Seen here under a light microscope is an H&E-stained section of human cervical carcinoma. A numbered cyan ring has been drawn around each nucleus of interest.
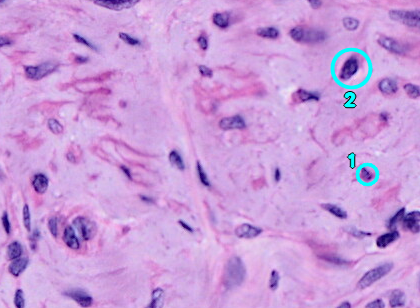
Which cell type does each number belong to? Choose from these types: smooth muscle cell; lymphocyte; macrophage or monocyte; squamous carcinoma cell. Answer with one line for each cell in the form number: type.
1: smooth muscle cell
2: lymphocyte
